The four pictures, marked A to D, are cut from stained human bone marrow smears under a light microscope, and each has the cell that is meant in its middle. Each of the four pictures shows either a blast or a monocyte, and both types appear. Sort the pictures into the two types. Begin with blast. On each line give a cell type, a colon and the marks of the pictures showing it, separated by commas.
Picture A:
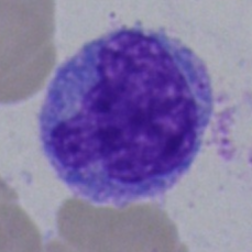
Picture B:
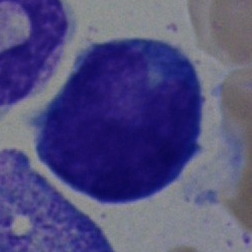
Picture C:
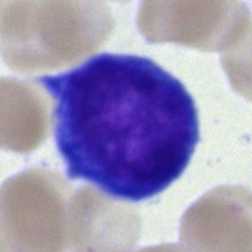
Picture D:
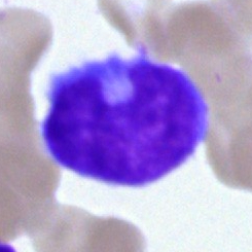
blast: B, C
monocyte: A, D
